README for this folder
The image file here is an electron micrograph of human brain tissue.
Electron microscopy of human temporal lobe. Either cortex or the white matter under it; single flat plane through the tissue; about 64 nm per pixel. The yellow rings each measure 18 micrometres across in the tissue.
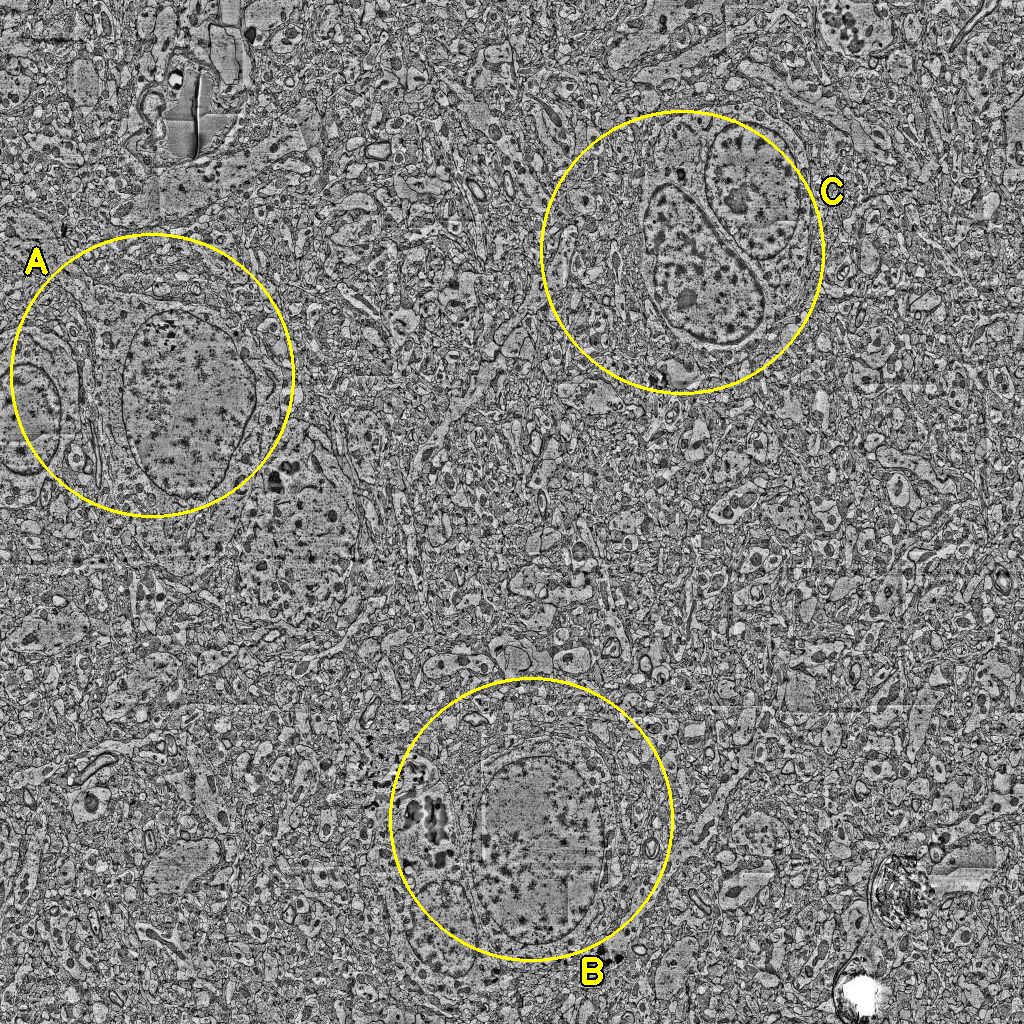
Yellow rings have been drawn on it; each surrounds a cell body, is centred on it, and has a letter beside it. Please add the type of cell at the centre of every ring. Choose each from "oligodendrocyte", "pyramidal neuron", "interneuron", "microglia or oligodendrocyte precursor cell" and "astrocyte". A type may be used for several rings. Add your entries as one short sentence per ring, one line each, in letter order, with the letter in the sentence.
Ring A marks the cell body of a pyramidal neuron.
Ring B marks the cell body of a pyramidal neuron.
Ring C marks the cell body of a microglial cell or oligodendrocyte precursor cell.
